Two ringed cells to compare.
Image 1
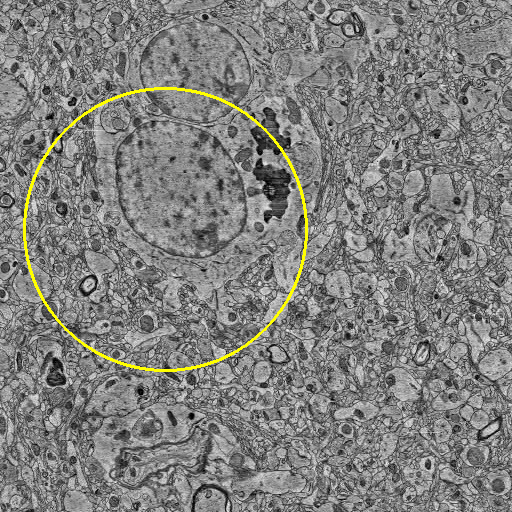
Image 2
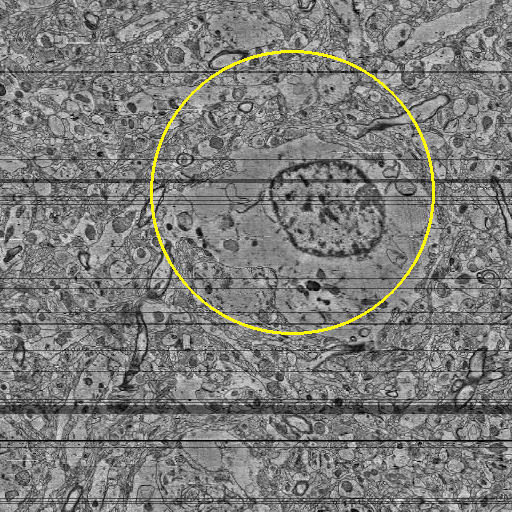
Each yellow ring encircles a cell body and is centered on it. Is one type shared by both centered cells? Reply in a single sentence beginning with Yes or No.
Yes, a single type is shared by the two cells at the centers of the rings.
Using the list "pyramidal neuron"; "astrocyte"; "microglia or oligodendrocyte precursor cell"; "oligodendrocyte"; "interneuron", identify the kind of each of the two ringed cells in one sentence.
The second cell is an astrocyte, just as the first is.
